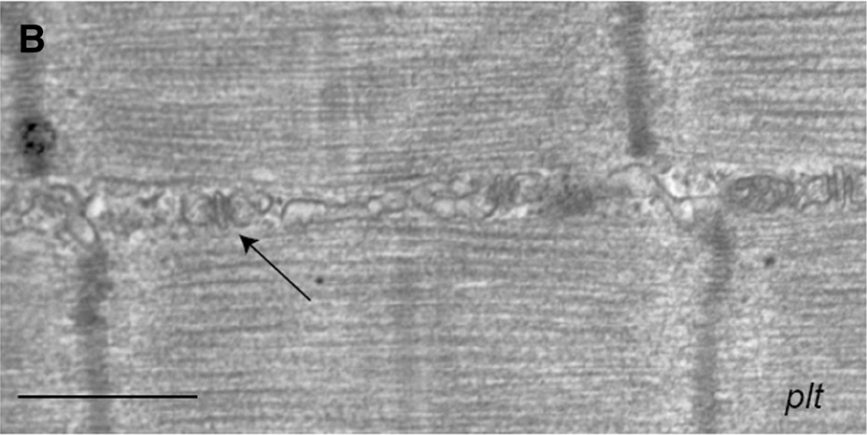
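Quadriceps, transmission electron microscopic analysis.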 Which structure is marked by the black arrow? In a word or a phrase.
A: Triads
